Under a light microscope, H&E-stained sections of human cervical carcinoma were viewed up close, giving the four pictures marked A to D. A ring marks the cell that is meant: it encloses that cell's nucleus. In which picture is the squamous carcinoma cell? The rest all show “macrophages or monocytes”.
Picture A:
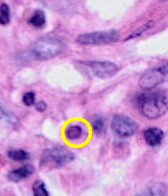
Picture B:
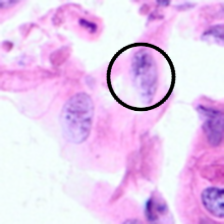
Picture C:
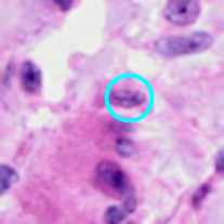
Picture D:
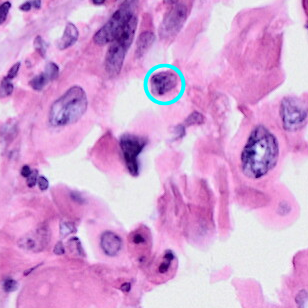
B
